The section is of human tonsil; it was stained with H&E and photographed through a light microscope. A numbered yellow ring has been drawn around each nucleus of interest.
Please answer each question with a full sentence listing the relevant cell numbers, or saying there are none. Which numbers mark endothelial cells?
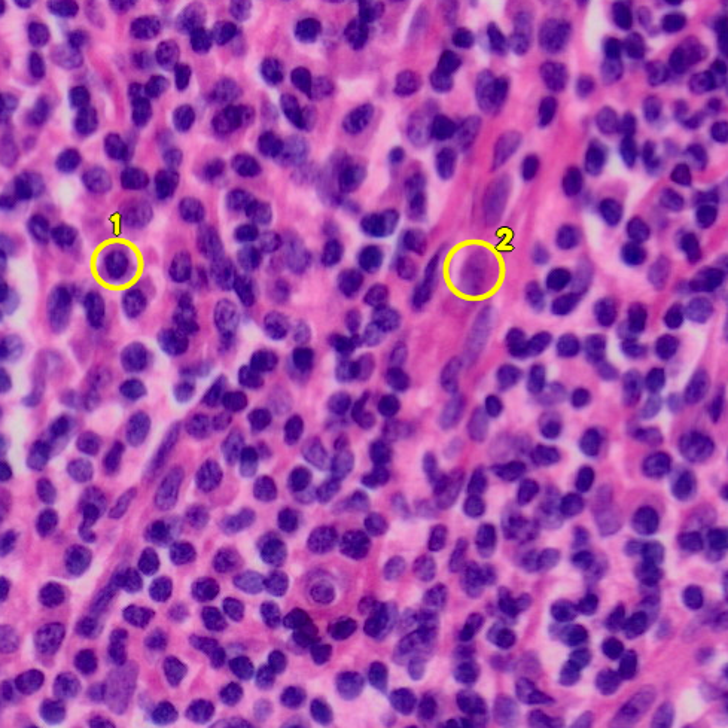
Of all the numbered cells, only one is an endothelial cell, and that is cell 2.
